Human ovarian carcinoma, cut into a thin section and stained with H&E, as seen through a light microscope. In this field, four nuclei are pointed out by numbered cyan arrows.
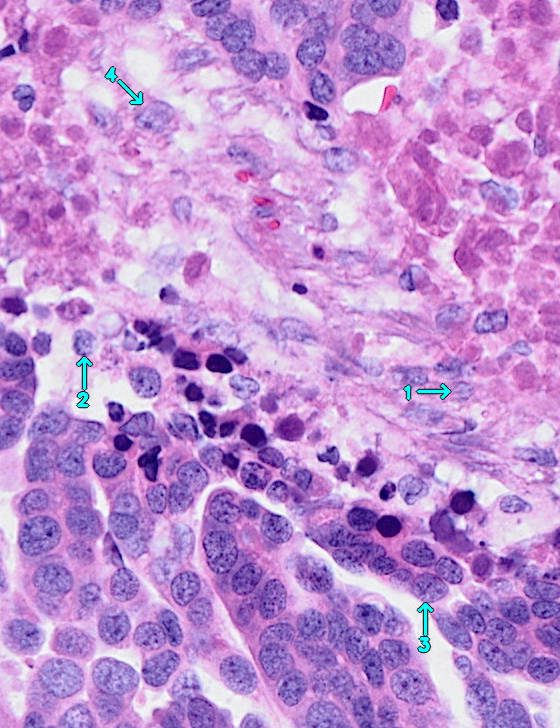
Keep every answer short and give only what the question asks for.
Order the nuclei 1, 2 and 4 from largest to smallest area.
4, 2, 1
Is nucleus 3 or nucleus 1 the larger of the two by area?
3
